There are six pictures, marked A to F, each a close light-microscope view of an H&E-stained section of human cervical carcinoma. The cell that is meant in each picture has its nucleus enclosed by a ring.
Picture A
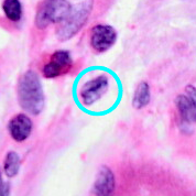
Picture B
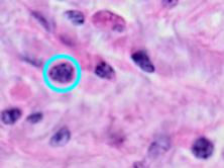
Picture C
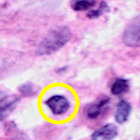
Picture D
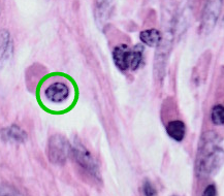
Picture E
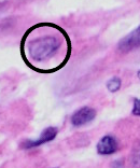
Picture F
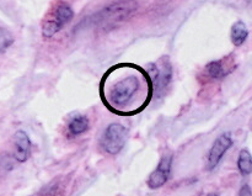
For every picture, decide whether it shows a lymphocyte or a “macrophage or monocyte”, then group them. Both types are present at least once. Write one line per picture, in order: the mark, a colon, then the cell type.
A: lymphocyte
B: lymphocyte
C: lymphocyte
D: lymphocyte
E: macrophage or monocyte
F: macrophage or monocyte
